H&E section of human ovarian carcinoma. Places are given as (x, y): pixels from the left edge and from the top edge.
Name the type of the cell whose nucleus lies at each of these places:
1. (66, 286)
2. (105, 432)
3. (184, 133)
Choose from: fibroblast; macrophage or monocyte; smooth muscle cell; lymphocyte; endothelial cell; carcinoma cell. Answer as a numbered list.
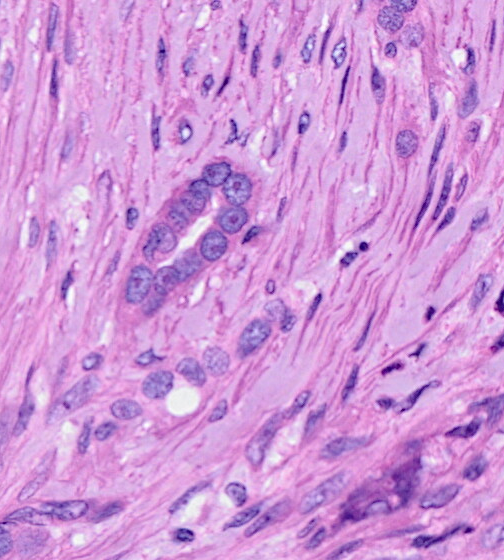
1. fibroblast
2. macrophage or monocyte
3. fibroblast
